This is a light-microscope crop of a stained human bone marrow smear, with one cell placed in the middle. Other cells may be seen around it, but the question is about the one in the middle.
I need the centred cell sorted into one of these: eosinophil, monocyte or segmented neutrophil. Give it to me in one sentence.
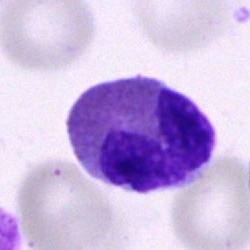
This crop's central cell is an eosinophil.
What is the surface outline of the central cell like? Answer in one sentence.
If you check the edge, you will find it smooth without projections.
